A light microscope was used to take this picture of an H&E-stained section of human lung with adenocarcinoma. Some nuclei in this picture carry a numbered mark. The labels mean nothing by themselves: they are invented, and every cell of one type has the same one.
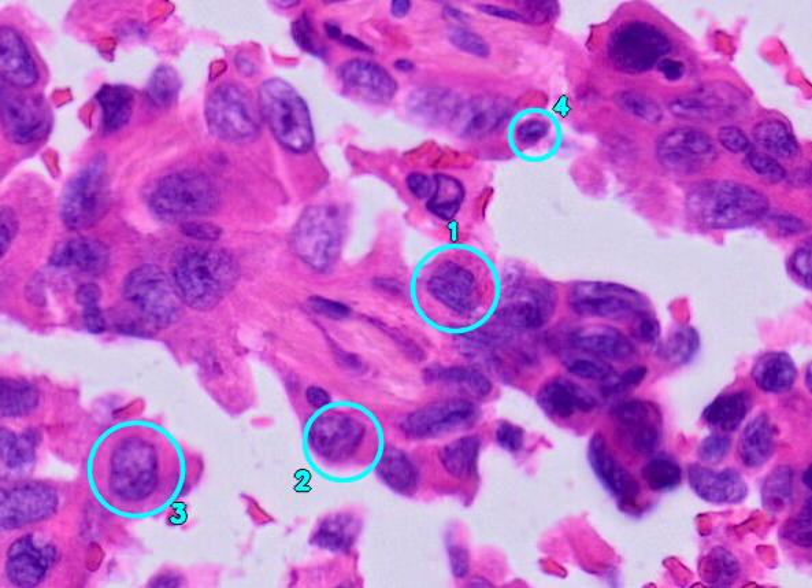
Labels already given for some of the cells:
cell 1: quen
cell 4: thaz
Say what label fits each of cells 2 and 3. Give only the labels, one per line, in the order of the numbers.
quen
quen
